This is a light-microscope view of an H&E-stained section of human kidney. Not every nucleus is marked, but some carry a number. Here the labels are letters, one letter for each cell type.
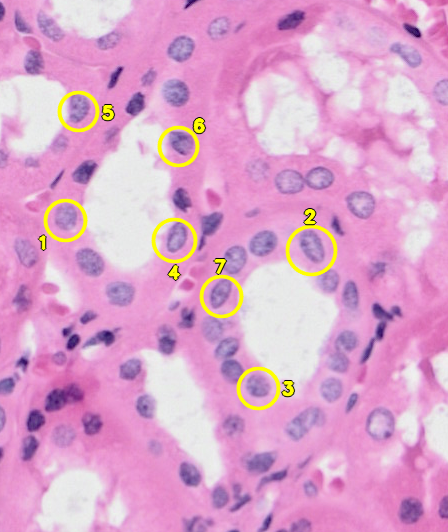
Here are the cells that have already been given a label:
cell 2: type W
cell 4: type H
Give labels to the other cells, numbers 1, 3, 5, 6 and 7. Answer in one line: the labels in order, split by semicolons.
type H; type W; type H; type H; type W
